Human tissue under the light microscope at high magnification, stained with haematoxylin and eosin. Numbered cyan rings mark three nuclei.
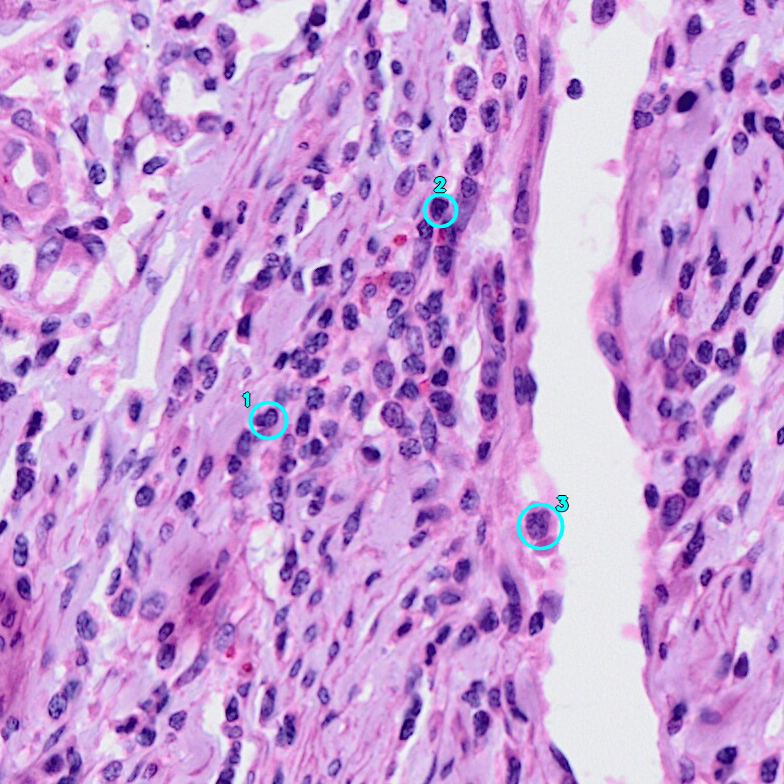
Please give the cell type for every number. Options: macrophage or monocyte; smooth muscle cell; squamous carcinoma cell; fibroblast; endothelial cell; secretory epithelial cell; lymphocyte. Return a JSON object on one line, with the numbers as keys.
{"1": "lymphocyte", "2": "lymphocyte", "3": "macrophage or monocyte"}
